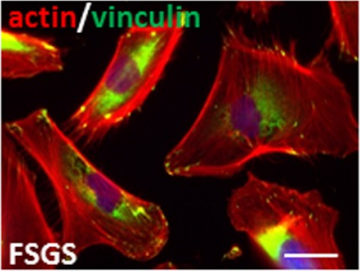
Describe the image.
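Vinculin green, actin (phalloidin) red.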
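Cultured podocytes, flattened and widely spread, with elongated, fan-like or polygonal outlines and sharp cell edges. Each holds one central oval blue nucleus. Red filament bundles run lengthwise through the cytoplasm and thicken along the cell borders. Green lies as diffuse haze around the nucleus and as relatively sparse elongated streaks at the cell periphery, often at the ends of red bundles, appearing yellow where they overlap. Some cells show broad bright yellow-green areas at one pole. Cells are separated by dark gaps and only occasionally touch.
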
